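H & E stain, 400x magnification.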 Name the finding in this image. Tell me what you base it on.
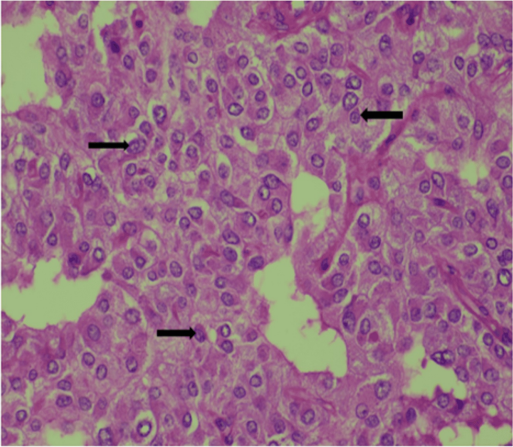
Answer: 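Monotonous population of cells arranged in sheets. Cells of similar size with round to oval nuclei. Cells packed together in a solid sheet. Moderate amounts of pink cytoplasm around each nucleus.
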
